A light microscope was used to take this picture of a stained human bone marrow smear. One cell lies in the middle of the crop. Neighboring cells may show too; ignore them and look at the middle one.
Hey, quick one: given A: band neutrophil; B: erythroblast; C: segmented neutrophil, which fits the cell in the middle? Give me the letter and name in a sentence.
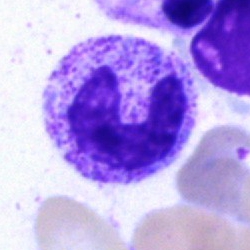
In the centre of the crop there is a band neutrophil, making option A correct.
